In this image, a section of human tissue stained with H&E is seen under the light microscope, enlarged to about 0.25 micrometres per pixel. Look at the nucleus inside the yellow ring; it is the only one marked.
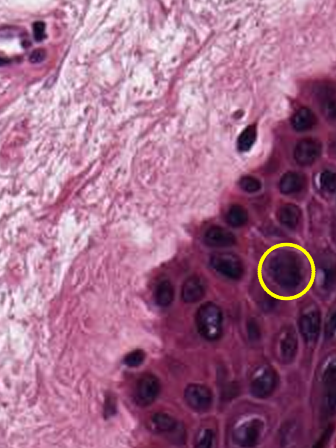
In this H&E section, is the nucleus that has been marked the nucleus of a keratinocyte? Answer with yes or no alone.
yes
